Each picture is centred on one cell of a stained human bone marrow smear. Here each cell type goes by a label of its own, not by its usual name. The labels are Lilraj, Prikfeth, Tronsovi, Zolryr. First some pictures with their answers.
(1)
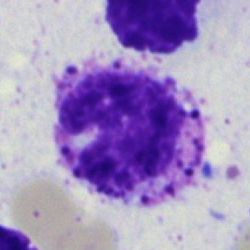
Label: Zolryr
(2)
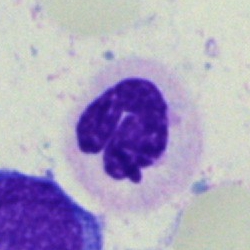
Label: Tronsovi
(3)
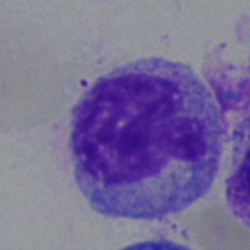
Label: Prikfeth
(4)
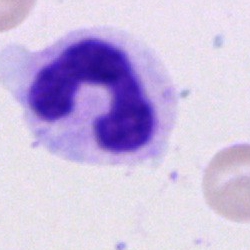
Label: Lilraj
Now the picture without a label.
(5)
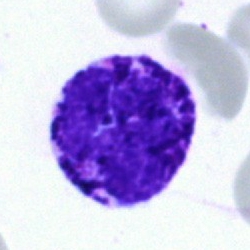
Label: Zolryr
